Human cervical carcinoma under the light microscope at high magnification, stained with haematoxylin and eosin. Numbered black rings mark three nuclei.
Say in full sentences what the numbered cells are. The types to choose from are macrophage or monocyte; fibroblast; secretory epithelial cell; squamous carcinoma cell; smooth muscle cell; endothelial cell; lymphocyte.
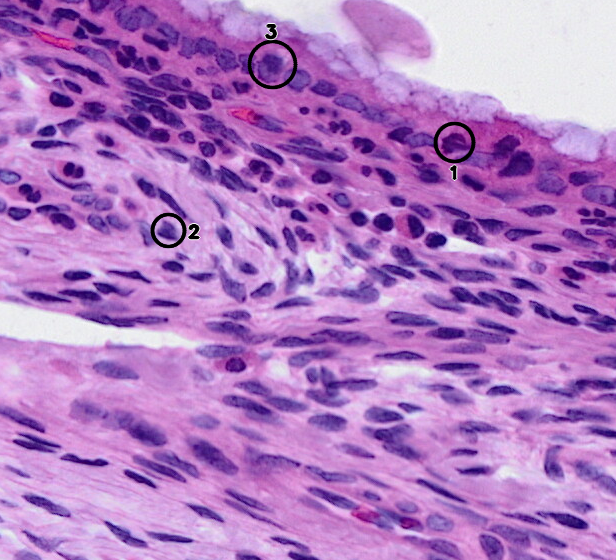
Cells 1 and 3 are secretory epithelial cells. Cell 2 is a fibroblast.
